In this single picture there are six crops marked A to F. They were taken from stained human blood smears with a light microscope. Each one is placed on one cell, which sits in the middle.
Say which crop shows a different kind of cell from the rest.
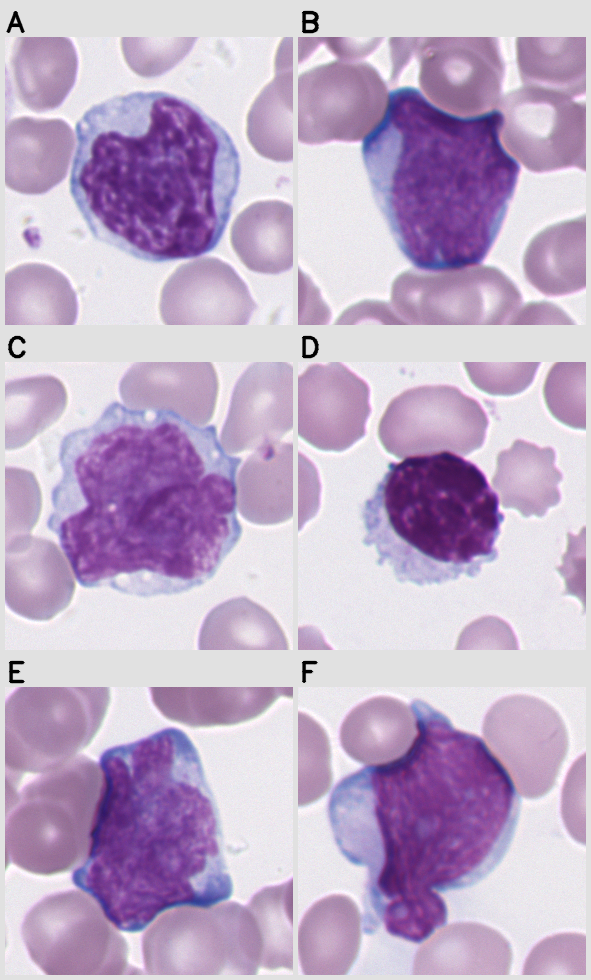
D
